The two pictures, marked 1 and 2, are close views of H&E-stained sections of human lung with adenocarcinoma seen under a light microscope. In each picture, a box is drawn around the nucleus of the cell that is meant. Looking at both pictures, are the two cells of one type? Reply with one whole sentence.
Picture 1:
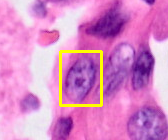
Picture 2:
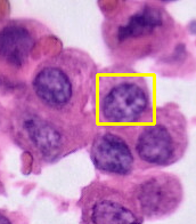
Yes; the cells in both pictures are carcinoma cells.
